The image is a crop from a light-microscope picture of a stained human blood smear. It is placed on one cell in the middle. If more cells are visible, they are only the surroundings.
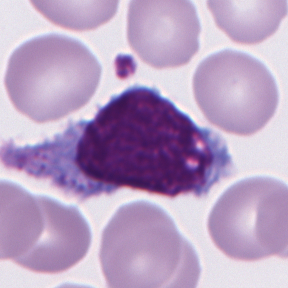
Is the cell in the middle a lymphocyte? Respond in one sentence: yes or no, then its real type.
Yes, the central cell is to be recorded as a lymphocyte.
